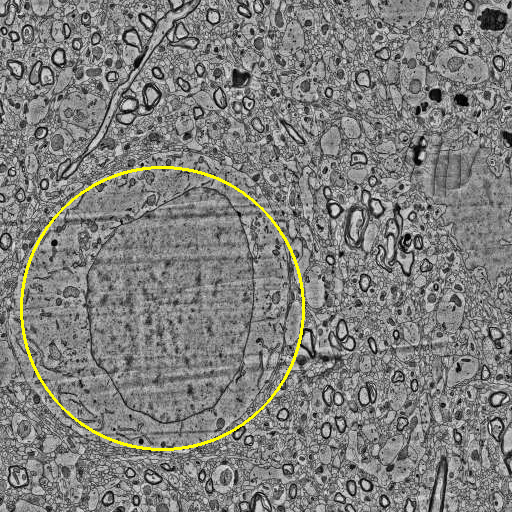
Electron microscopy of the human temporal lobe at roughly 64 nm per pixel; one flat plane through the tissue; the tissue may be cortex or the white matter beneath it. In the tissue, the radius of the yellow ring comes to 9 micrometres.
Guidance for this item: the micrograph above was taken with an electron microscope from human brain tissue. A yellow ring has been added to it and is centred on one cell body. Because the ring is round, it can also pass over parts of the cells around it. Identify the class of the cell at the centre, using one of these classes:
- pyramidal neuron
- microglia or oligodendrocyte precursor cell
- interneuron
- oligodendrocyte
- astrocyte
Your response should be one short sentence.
The ring surrounds the body of a pyramidal neuron.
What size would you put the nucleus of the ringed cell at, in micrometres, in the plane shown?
Roughly 15 micrometres by 11 micrometres, in this plane.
